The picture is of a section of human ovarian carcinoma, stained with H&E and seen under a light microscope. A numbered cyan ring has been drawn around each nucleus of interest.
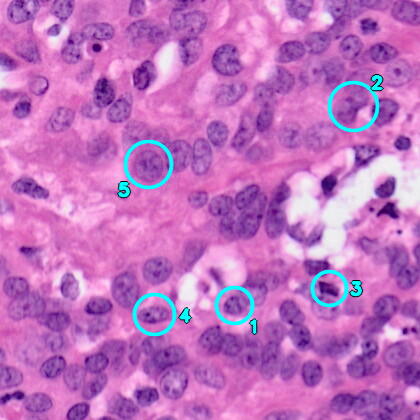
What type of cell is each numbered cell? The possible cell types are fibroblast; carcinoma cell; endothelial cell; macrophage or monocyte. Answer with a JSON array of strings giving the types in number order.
["macrophage or monocyte", "carcinoma cell", "carcinoma cell", "macrophage or monocyte", "carcinoma cell"]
